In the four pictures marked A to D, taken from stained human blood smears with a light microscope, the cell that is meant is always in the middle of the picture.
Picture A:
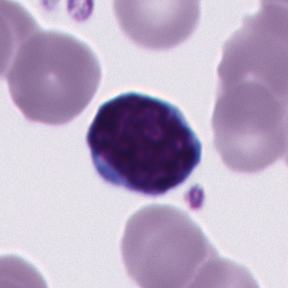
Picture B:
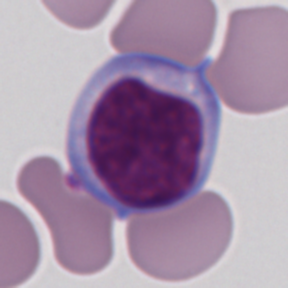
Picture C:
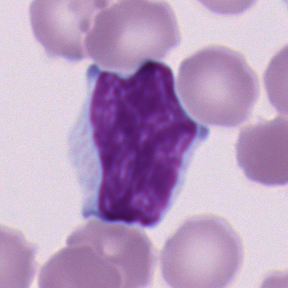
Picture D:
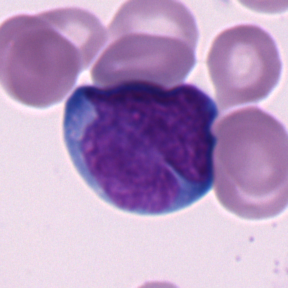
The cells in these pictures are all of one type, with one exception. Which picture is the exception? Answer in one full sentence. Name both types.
The others show typical lymphocytes, but picture D shows a myeloblast.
